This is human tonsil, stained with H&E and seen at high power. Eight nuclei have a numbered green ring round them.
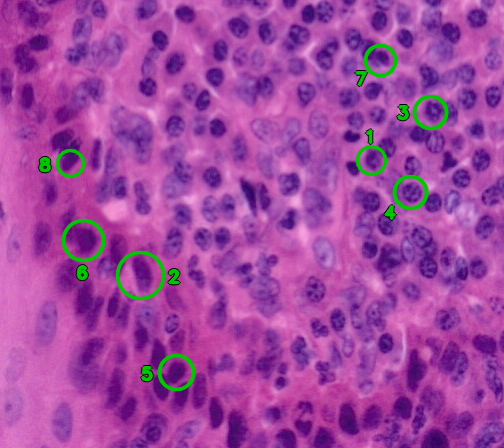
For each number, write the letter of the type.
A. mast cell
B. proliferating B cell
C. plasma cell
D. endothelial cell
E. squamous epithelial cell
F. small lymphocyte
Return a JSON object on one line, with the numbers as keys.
{"1": "C", "2": "E", "3": "C", "4": "C", "5": "E", "6": "E", "7": "C", "8": "E"}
